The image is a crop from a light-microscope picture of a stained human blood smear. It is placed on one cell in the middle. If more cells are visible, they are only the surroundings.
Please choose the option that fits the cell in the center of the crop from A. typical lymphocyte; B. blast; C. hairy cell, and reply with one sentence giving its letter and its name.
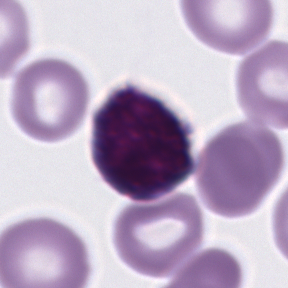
Option B is correct in naming the middle cell a blast.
